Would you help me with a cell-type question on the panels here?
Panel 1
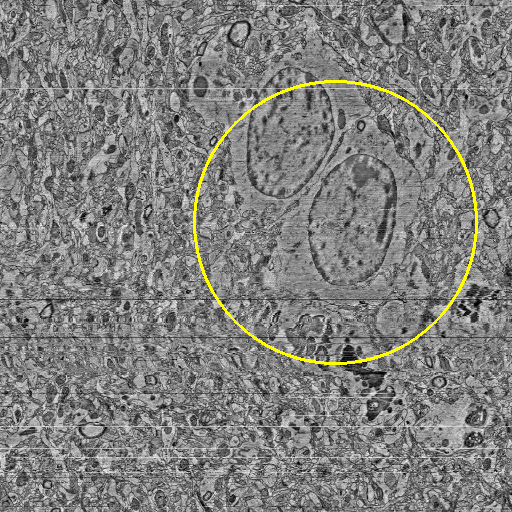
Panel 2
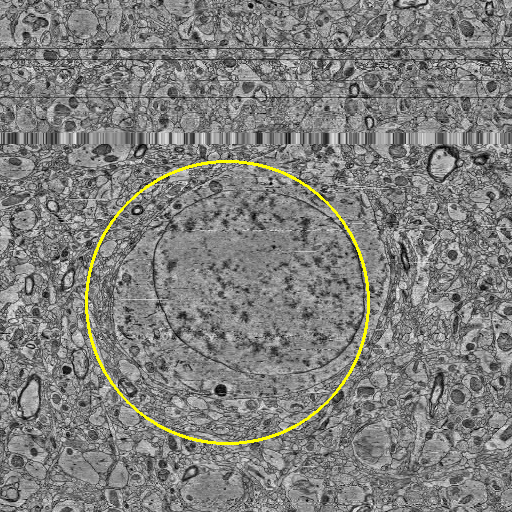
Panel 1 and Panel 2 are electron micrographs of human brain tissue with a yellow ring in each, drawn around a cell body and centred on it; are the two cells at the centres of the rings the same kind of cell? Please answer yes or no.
no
